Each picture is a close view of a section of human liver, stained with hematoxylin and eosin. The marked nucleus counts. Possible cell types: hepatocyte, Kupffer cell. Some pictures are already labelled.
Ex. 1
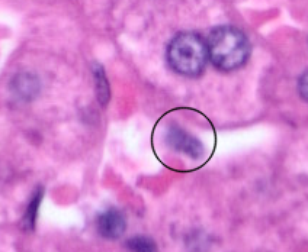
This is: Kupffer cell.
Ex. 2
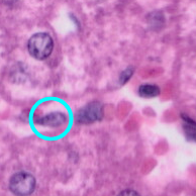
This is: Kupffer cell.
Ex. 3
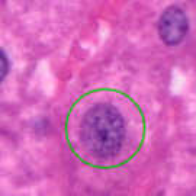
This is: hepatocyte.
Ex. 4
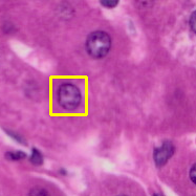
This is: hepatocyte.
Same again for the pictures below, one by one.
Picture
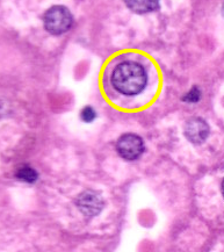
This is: hepatocyte.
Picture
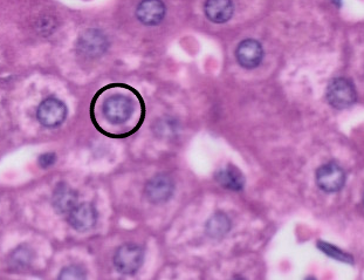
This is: hepatocyte.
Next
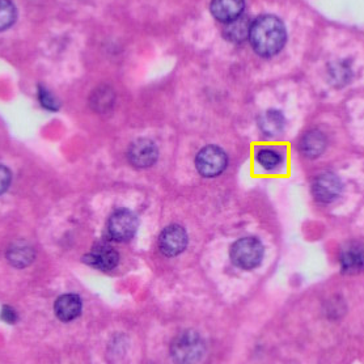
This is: Kupffer cell.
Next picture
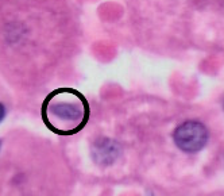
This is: Kupffer cell.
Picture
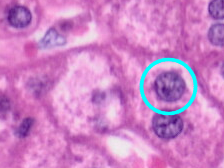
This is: hepatocyte.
